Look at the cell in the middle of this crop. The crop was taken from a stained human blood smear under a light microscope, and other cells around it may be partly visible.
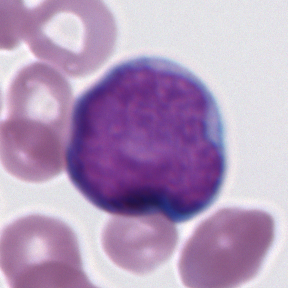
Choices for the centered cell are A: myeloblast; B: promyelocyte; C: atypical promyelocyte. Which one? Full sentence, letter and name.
That the central cell is a myeloblast makes option A correct.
